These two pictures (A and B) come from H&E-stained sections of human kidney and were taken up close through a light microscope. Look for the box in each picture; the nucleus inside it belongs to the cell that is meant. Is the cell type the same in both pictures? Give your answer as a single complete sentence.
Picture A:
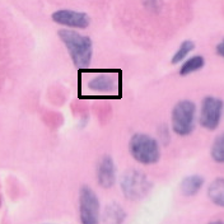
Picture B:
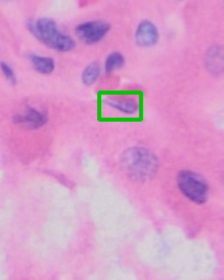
Yes, the two pictures both show endothelial cells.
